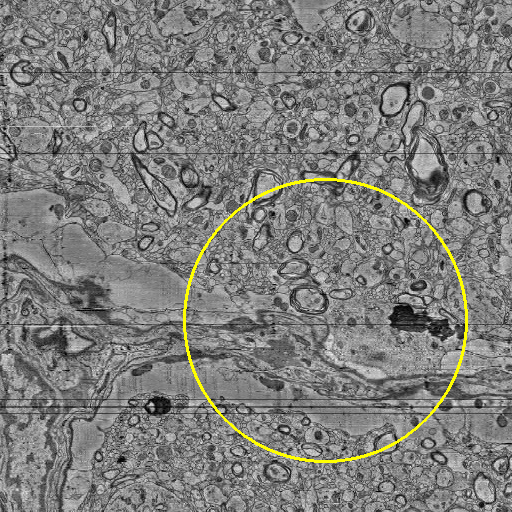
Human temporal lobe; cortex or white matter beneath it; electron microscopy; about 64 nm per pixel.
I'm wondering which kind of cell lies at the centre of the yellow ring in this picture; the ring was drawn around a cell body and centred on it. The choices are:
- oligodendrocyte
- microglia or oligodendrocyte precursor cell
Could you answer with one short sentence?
At the centre of the ring lies an oligodendrocyte.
